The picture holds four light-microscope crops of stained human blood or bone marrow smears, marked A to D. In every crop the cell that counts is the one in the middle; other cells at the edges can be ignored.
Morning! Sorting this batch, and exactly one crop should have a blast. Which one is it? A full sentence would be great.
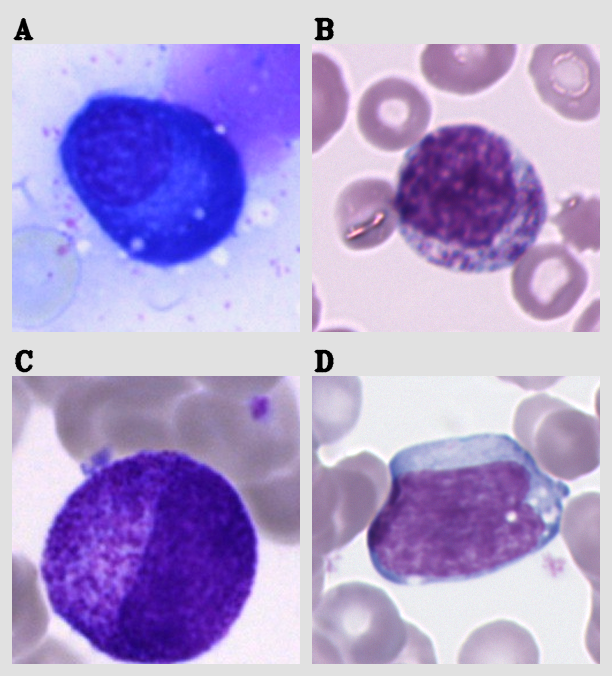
Crop D is the crop that displays a blast.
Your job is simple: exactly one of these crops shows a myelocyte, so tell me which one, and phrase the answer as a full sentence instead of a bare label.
The cell identified as a myelocyte is the one in crop B.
